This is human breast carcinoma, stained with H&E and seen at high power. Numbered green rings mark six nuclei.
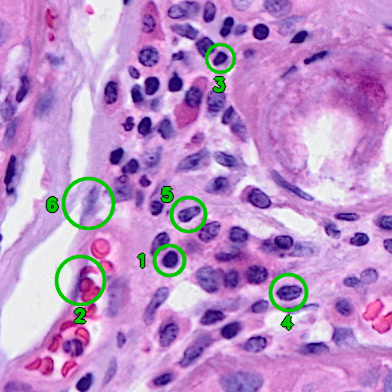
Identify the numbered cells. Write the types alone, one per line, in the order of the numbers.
lymphocyte
endothelial cell
lymphocyte
lymphocyte
lymphocyte
fibroblast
